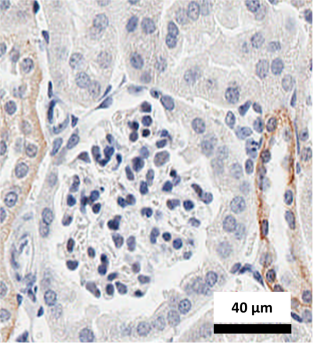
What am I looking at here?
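A glomerulus is seen in cross-section, its capillary tuft crowded with small, round to oval blue nuclei of glomerular cells. The tuft is separated by a thin clear space from the surrounding capsule. Around it lie tubules lined by cuboidal epithelial cells with round, pale blue nuclei and finely granular pale cytoplasm. Brown staining is scant inside the tuft and appears mainly as a thin rim along a structure at the right edge.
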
